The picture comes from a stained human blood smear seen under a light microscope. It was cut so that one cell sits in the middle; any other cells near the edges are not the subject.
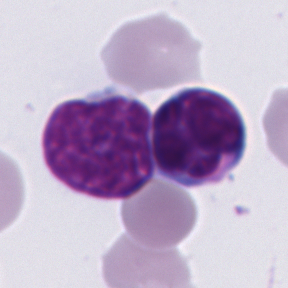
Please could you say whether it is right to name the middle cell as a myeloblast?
yes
